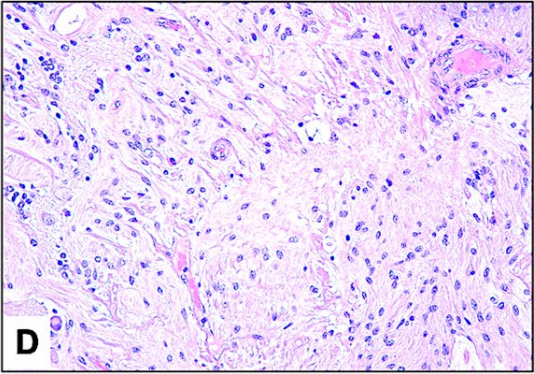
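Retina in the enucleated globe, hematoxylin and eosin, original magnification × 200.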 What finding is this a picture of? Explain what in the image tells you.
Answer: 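Massive gliosis. Pink fibrillary tissue fills the whole field. Scattered oval and elongated nuclei lie in the fibrillary background. No layered arrangement is seen.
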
